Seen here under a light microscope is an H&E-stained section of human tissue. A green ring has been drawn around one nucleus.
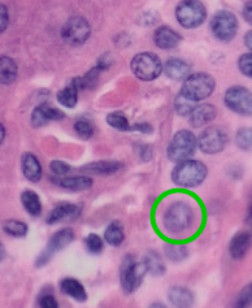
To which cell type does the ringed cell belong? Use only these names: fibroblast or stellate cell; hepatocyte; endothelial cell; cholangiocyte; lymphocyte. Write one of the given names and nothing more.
cholangiocyte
